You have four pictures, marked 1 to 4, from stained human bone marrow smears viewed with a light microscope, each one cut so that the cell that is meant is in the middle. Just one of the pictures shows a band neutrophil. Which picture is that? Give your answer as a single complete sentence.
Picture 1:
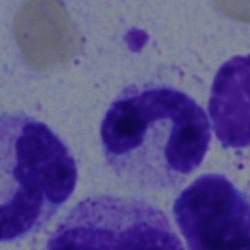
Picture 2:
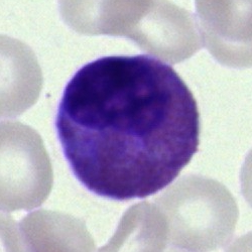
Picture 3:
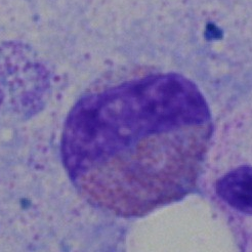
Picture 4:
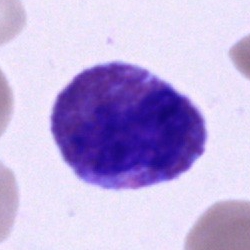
It is picture 1 that shows the band neutrophil.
